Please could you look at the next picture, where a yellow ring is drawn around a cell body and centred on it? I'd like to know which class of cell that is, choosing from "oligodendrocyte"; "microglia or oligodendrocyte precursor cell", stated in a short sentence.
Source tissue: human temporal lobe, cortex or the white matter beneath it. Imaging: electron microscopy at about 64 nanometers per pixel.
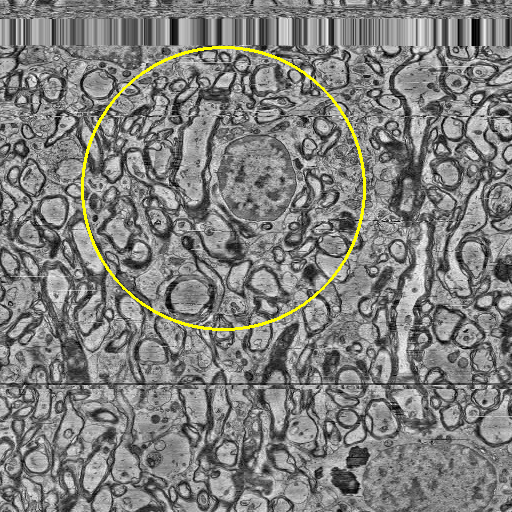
The ring's centre lies on a microglial cell or oligodendrocyte precursor cell.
